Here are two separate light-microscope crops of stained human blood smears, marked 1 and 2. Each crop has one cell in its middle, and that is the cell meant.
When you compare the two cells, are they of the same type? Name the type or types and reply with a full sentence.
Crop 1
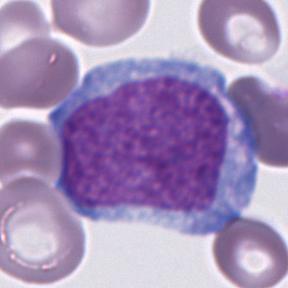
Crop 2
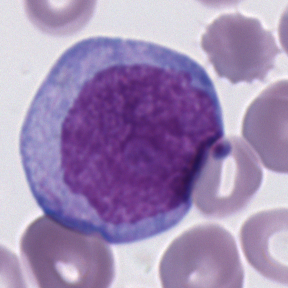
Yes, both crops show promyelocytes in the middle.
